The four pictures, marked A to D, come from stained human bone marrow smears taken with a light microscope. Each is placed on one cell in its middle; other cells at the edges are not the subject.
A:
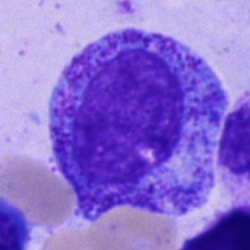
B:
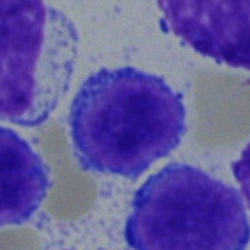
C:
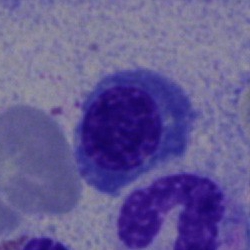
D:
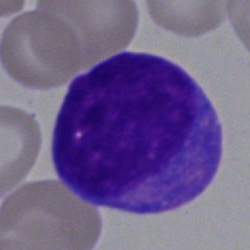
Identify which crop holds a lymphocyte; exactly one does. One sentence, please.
In the set of crops, crop B is the one that contains a lymphocyte.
